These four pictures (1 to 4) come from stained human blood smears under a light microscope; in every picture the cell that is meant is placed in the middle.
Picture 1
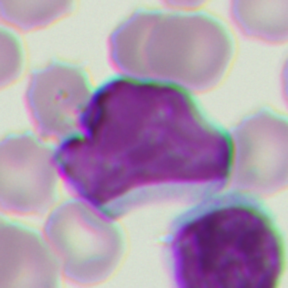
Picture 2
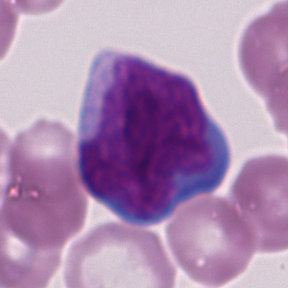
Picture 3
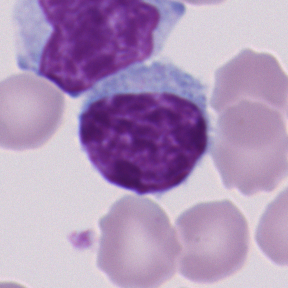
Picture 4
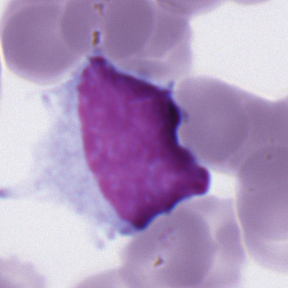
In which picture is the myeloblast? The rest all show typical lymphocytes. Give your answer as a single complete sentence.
It is picture 2 that shows the myeloblast.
